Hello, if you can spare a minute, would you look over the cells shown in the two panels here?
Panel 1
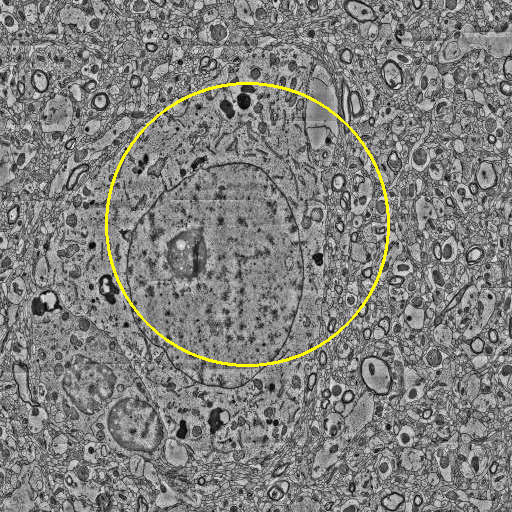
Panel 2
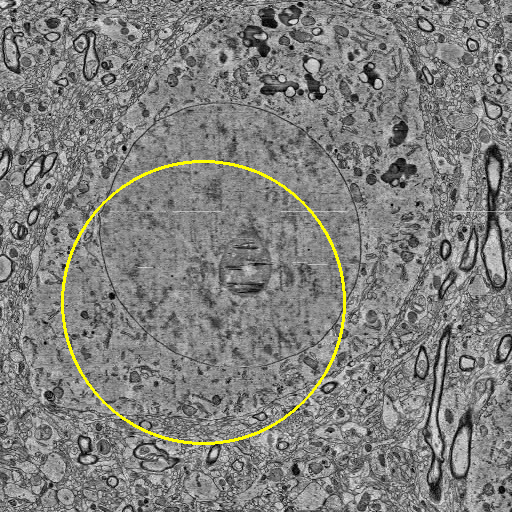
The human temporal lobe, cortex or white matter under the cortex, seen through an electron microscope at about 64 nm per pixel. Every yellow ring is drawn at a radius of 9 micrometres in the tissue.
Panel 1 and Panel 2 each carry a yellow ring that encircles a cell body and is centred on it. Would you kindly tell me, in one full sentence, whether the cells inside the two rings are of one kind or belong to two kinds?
The cells at the centres of the rings in Panel 1 and Panel 2 are of one kind.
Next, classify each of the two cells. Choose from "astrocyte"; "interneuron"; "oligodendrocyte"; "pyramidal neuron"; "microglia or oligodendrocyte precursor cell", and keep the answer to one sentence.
In both pictures the ring is centred on a pyramidal neuron.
